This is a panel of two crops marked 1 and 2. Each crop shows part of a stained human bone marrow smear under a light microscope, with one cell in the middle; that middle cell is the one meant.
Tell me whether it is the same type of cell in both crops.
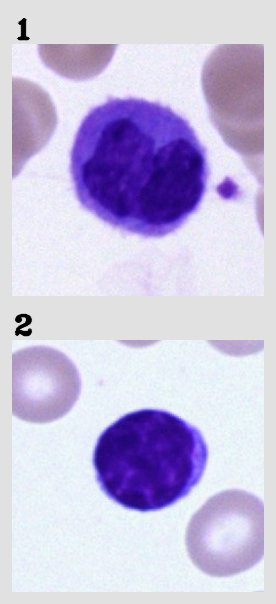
no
